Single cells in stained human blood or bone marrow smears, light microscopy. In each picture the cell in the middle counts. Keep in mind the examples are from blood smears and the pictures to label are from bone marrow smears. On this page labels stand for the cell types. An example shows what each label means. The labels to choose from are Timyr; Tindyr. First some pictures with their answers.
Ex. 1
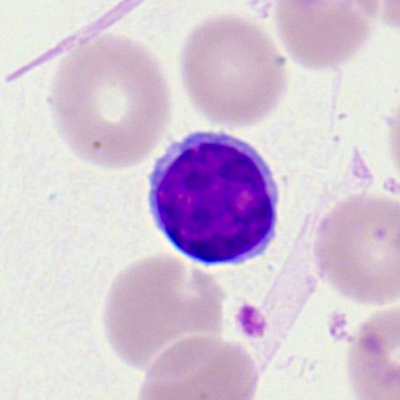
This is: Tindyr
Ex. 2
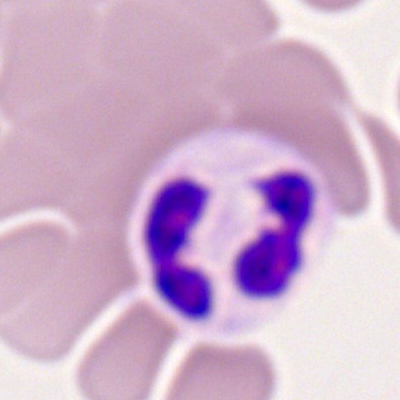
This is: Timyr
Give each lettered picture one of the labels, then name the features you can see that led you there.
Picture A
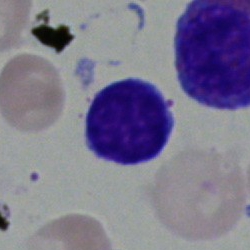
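Tindyr. Evidence: The nucleus fills almost the whole cell, leaving very little cytoplasm visible.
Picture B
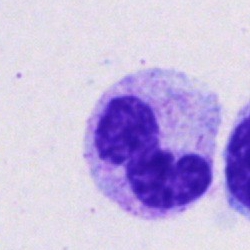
Timyr. Evidence: The cytoplasm is plentiful and pale lilac.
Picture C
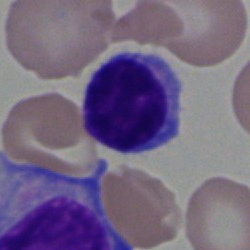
Tindyr. Evidence: The cytoplasm is scant, forming a narrow rim that is widest on the right side.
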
